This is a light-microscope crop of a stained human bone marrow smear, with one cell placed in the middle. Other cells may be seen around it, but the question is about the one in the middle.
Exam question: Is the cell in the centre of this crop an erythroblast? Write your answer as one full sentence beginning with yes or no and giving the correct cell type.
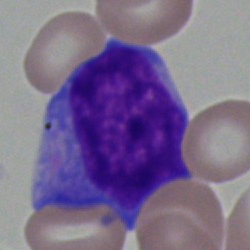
No, the middle of the crop holds a blast, not an erythroblast.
